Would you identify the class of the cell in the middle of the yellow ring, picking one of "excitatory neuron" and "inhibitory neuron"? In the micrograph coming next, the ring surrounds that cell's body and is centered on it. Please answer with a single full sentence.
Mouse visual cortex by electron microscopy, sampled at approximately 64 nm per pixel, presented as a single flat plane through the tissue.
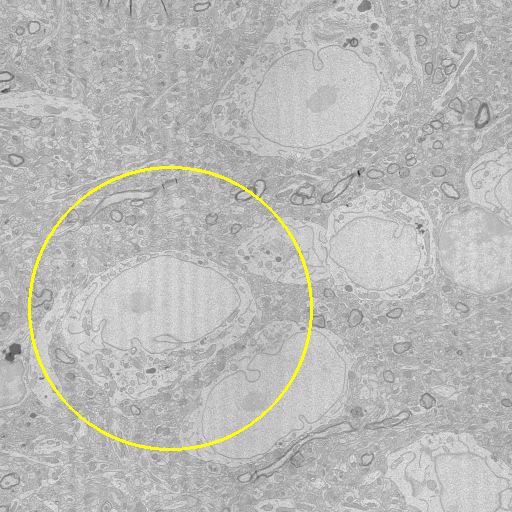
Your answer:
In the micrograph, it is an inhibitory neuron whose body lies at the ring's center.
